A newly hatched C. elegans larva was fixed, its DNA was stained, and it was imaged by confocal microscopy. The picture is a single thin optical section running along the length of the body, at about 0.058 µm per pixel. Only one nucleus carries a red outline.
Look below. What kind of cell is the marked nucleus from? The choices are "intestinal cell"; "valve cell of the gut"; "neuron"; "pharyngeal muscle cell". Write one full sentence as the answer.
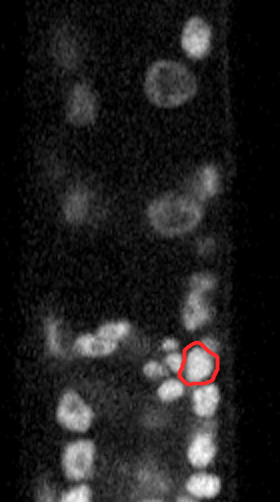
This is the nucleus of a neuron.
